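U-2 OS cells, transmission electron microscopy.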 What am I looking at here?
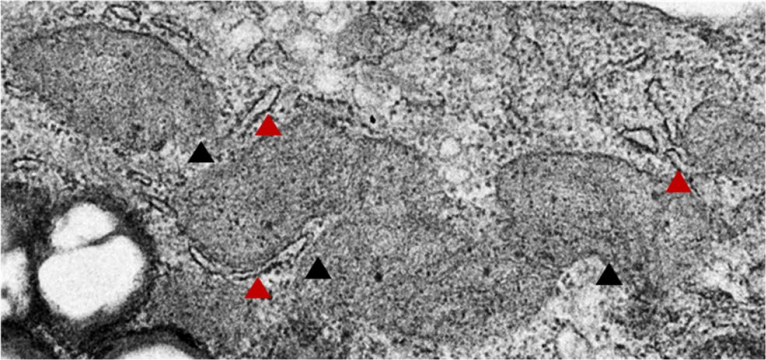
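The mitochondria have a grey, finely granular matrix with faint cristae and are bounded by a membrane. Thin flattened membrane tubules of endoplasmic reticulum lie close along their borders and scatter through the surrounding granular cytoplasm. At the lower left are dark-rimmed structures containing pale empty spaces.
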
